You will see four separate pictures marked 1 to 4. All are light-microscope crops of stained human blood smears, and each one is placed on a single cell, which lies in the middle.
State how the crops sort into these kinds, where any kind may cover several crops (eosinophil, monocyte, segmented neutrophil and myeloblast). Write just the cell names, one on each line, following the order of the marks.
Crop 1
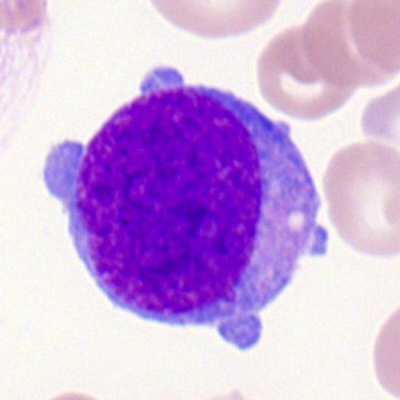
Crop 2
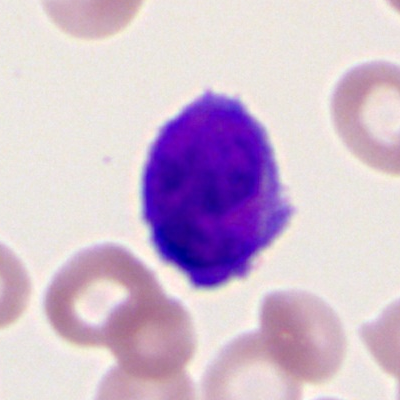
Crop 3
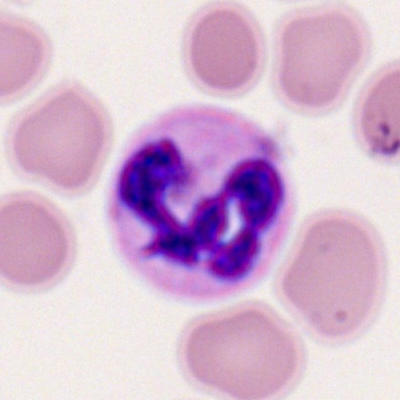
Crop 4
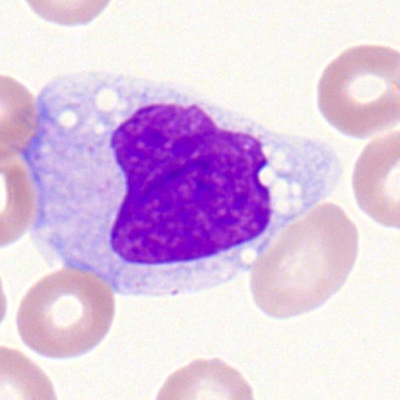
myeloblast
myeloblast
segmented neutrophil
monocyte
